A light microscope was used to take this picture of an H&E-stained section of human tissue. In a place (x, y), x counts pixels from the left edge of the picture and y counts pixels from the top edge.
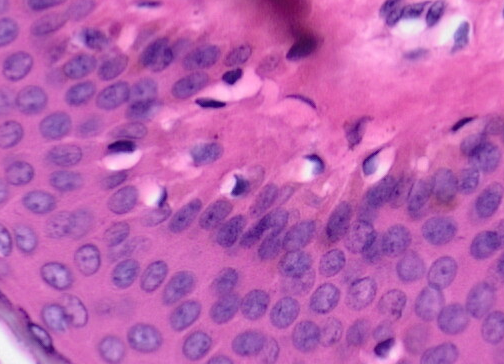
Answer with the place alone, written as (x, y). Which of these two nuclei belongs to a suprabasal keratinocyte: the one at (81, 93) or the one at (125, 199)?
(81, 93)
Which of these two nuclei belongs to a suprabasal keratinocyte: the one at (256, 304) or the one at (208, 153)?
(256, 304)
